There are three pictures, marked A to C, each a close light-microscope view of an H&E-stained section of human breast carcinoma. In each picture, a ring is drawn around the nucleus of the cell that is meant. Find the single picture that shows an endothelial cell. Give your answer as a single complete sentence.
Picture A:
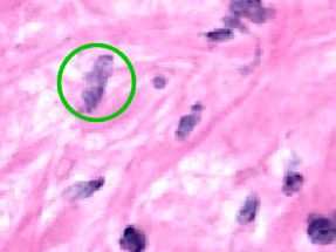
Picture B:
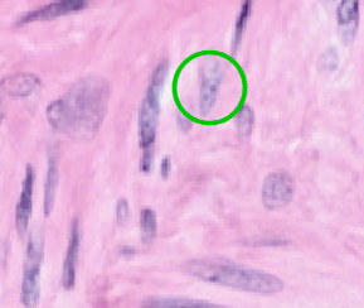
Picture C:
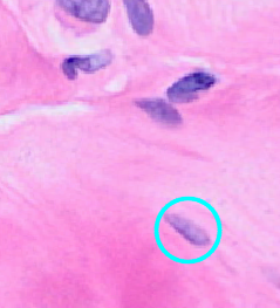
Picture B shows the endothelial cell.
